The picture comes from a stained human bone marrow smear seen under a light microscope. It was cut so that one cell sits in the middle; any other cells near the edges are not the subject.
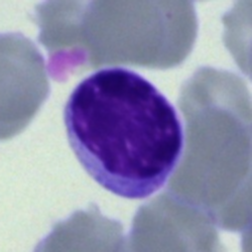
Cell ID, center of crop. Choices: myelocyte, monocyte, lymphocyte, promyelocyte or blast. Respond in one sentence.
At the middle of the frame sits a lymphocyte.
